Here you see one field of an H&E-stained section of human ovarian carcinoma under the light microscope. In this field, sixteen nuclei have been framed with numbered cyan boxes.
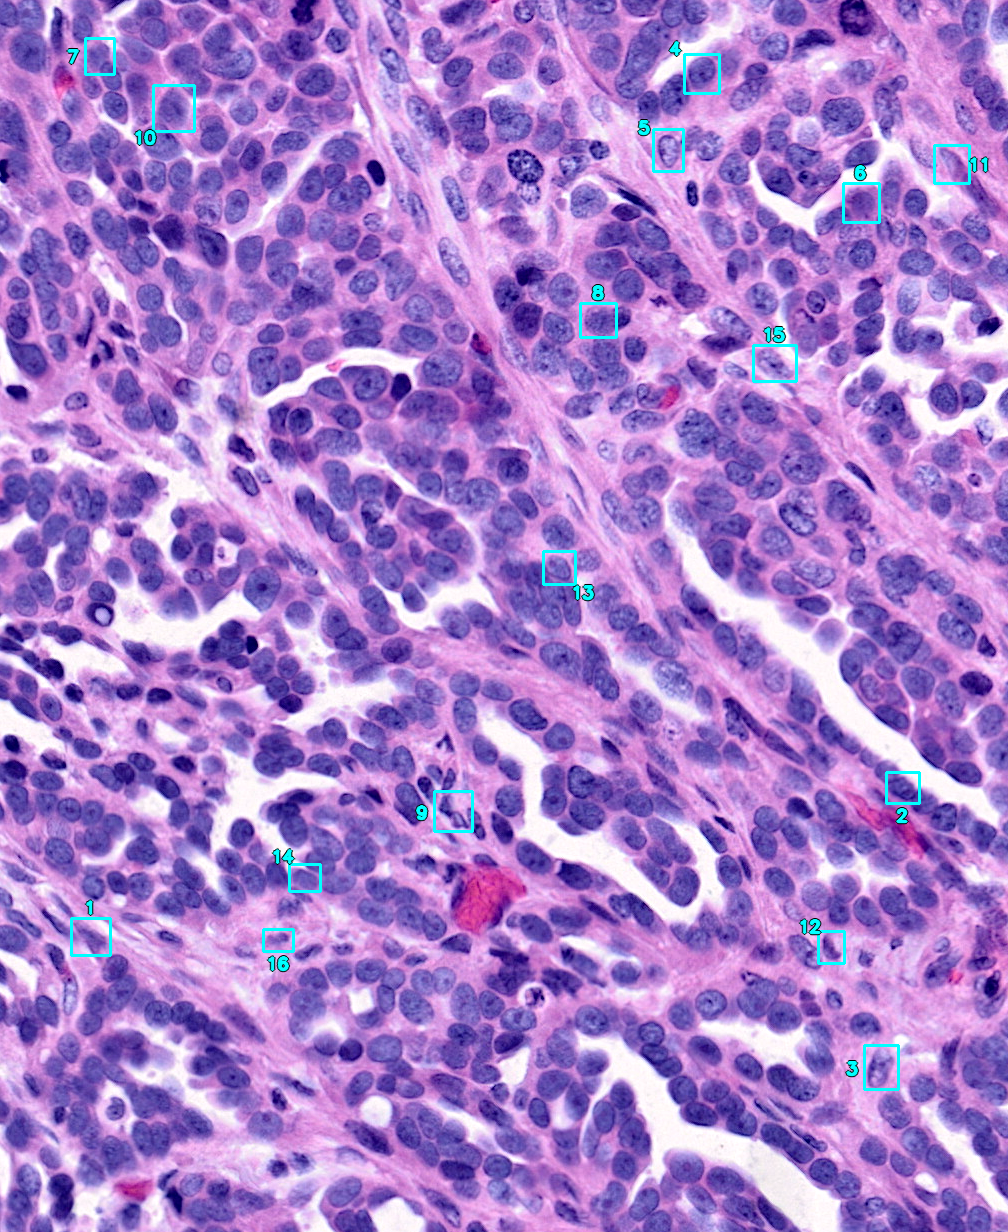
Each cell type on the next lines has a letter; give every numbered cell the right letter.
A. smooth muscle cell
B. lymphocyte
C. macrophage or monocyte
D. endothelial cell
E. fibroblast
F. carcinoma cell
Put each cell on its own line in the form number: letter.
1: E
2: F
3: E
4: F
5: E
6: F
7: F
8: F
9: E
10: F
11: E
12: E
13: F
14: F
15: E
16: E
